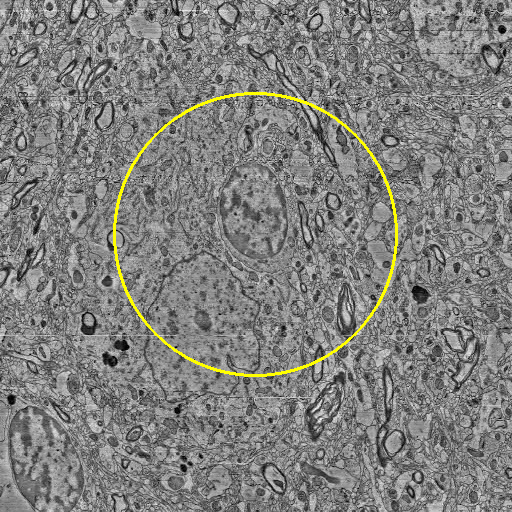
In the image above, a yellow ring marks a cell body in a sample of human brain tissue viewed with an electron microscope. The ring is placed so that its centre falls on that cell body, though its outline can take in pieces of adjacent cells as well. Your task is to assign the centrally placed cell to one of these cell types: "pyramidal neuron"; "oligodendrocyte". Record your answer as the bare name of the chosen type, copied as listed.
oligodendrocyte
